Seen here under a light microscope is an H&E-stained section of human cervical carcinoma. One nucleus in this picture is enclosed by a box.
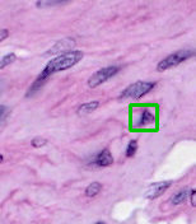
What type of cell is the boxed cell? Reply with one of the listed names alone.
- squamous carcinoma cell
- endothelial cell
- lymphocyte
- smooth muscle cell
smooth muscle cell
